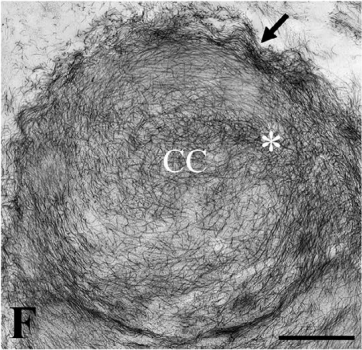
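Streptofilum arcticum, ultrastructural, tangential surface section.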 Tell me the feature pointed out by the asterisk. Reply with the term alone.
net‐like arrangement of the scales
